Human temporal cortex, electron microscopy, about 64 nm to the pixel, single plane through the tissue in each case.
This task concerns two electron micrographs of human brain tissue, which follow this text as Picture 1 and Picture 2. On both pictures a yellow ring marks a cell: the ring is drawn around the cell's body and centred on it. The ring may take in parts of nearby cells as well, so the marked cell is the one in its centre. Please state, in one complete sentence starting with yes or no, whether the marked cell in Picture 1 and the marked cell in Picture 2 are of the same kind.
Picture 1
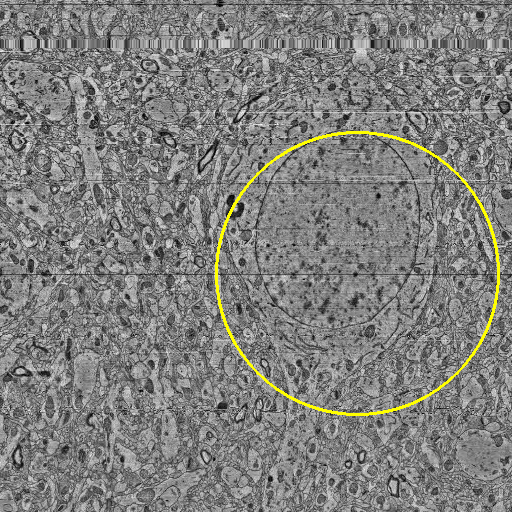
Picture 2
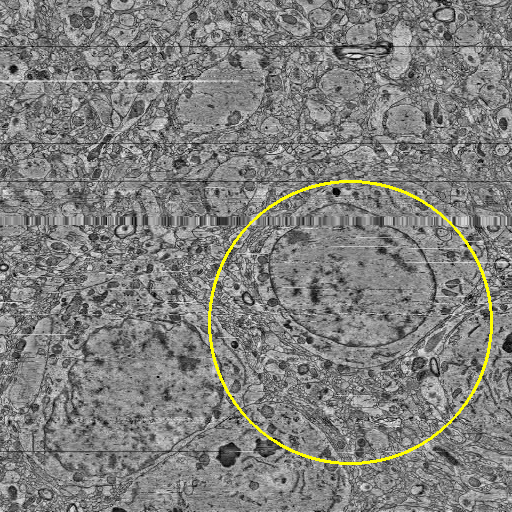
Yes, the marked cells in both pictures are of the same kind.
